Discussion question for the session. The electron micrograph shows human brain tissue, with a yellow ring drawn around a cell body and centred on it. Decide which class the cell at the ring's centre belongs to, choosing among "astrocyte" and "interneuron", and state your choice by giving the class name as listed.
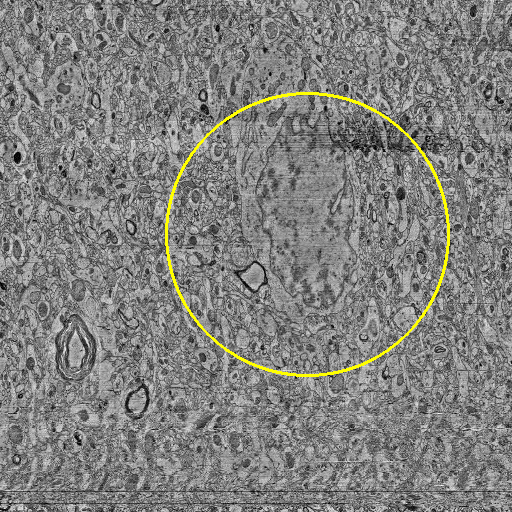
interneuron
